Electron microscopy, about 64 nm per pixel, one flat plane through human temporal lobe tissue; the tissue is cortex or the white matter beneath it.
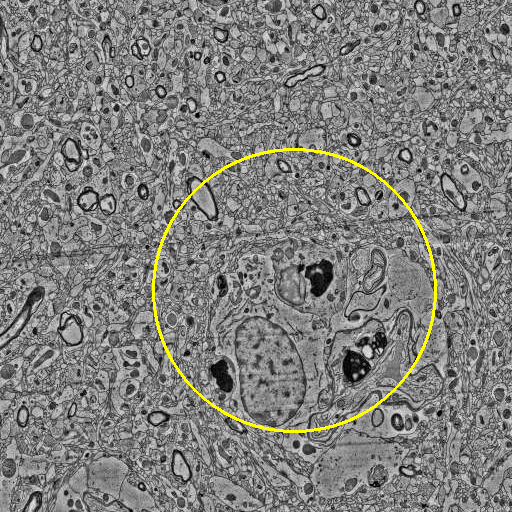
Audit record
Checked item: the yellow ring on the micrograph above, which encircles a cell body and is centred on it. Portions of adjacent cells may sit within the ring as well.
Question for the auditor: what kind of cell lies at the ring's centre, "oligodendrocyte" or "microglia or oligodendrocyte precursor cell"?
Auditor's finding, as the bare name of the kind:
oligodendrocyte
